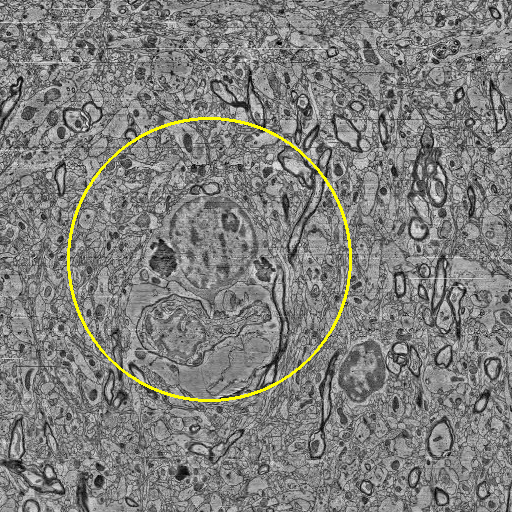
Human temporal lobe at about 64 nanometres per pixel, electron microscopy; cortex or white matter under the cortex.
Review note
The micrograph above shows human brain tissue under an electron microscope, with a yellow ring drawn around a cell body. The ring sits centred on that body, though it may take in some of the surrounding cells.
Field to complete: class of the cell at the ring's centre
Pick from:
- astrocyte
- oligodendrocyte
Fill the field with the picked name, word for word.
oligodendrocyte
